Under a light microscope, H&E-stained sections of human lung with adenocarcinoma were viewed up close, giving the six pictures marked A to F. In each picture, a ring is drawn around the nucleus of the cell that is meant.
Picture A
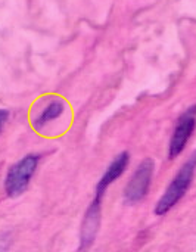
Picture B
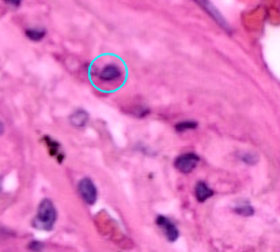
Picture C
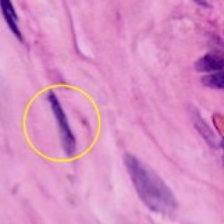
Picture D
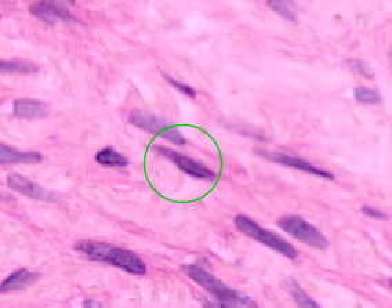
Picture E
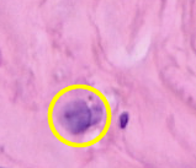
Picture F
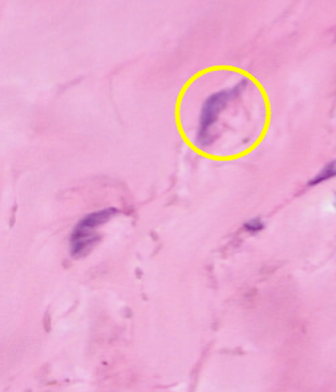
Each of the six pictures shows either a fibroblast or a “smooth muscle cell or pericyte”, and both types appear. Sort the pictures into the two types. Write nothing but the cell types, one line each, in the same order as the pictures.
smooth muscle cell or pericyte
smooth muscle cell or pericyte
fibroblast
smooth muscle cell or pericyte
fibroblast
fibroblast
